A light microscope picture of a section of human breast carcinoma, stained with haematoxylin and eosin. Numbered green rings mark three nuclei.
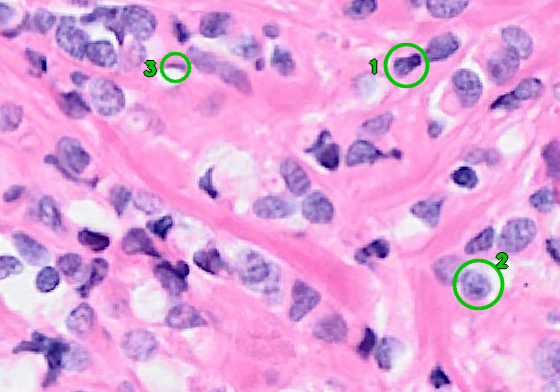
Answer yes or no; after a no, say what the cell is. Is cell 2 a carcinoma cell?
Yes.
